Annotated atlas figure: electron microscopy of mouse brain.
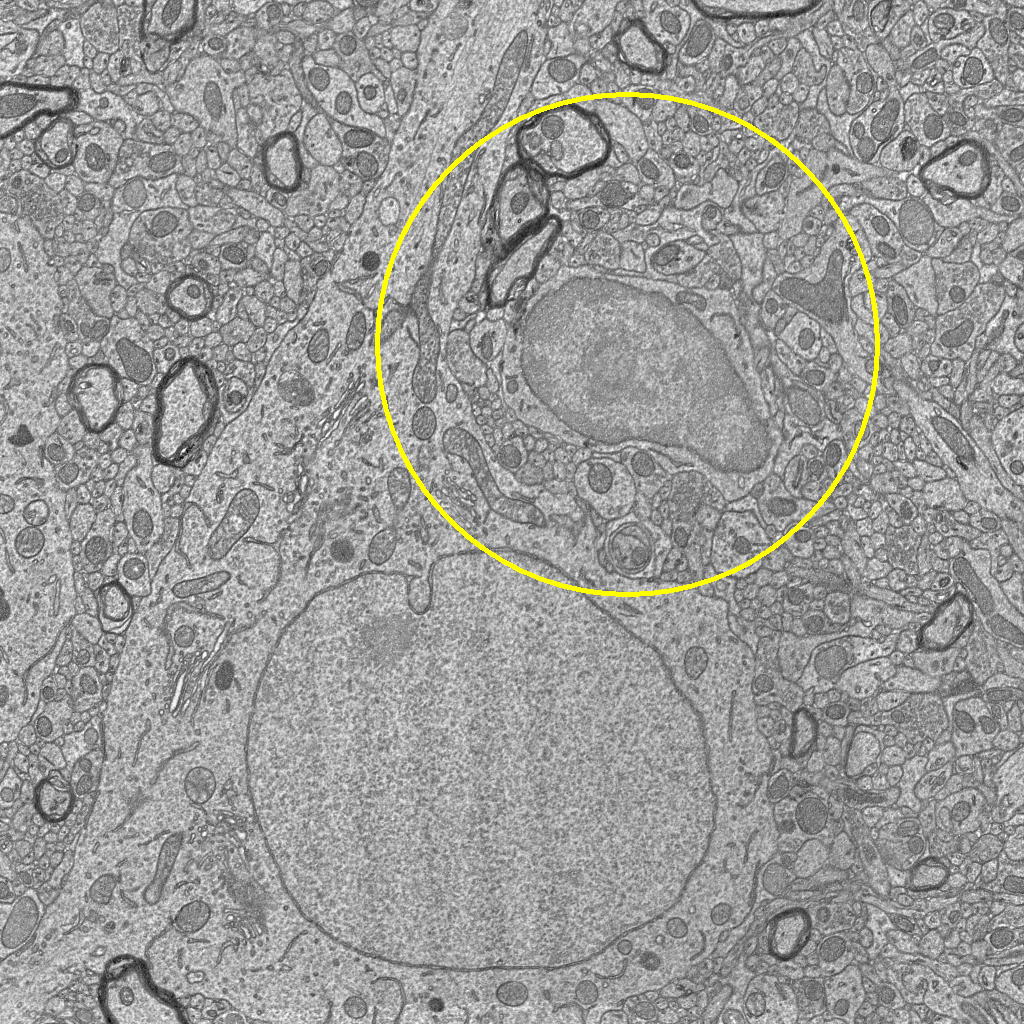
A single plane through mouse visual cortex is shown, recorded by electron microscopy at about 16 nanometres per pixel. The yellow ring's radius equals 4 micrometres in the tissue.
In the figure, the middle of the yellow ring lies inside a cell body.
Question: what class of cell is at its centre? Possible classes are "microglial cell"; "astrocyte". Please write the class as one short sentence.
The yellow ring's centre lies in a microglial cell.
